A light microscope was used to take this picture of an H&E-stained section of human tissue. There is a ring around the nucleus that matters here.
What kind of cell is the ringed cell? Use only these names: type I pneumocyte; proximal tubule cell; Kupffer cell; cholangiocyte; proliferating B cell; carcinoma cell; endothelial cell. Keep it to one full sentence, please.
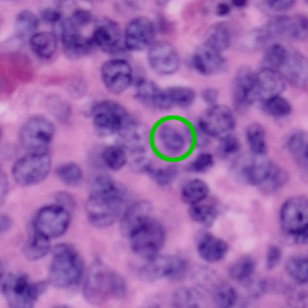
Histopathologically, the ringed cell is a proliferating B cell.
